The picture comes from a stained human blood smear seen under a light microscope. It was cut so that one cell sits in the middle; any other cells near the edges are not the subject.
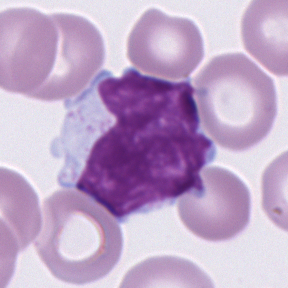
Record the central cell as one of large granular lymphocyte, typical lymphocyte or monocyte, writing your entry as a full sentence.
On this slide crop, the central cell is a large granular lymphocyte.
